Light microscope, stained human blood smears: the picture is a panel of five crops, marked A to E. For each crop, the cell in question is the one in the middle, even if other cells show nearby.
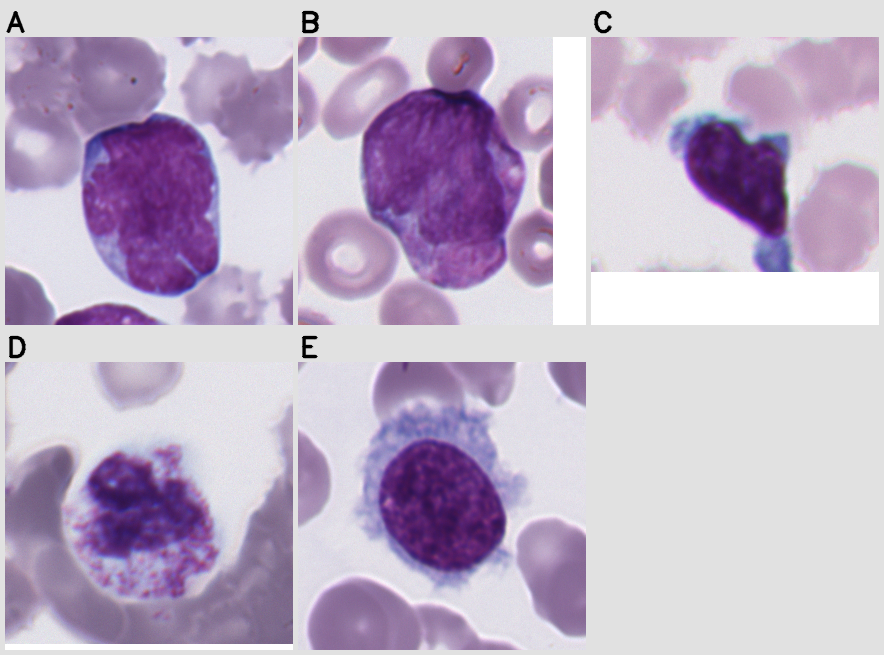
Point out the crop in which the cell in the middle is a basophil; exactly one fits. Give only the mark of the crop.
D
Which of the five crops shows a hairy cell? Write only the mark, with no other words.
E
